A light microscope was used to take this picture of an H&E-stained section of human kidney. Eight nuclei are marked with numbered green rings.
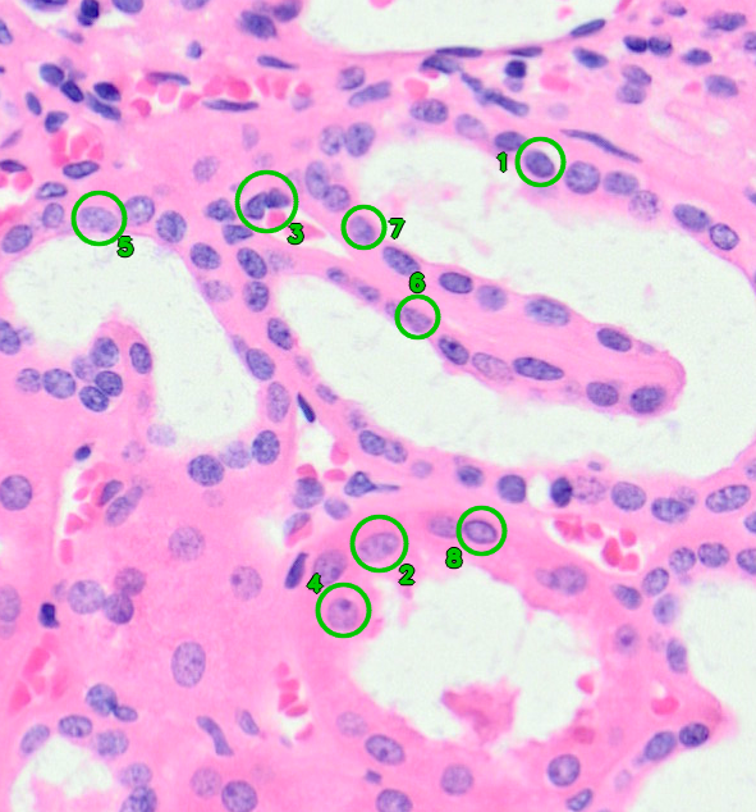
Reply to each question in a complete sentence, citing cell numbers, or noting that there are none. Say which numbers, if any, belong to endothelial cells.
Among the numbered cells, an endothelial cell occurs only once, as cell 3.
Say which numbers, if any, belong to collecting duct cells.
The cells numbered 1, 5, 6 and 7 are of the kind known as collecting duct cells.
